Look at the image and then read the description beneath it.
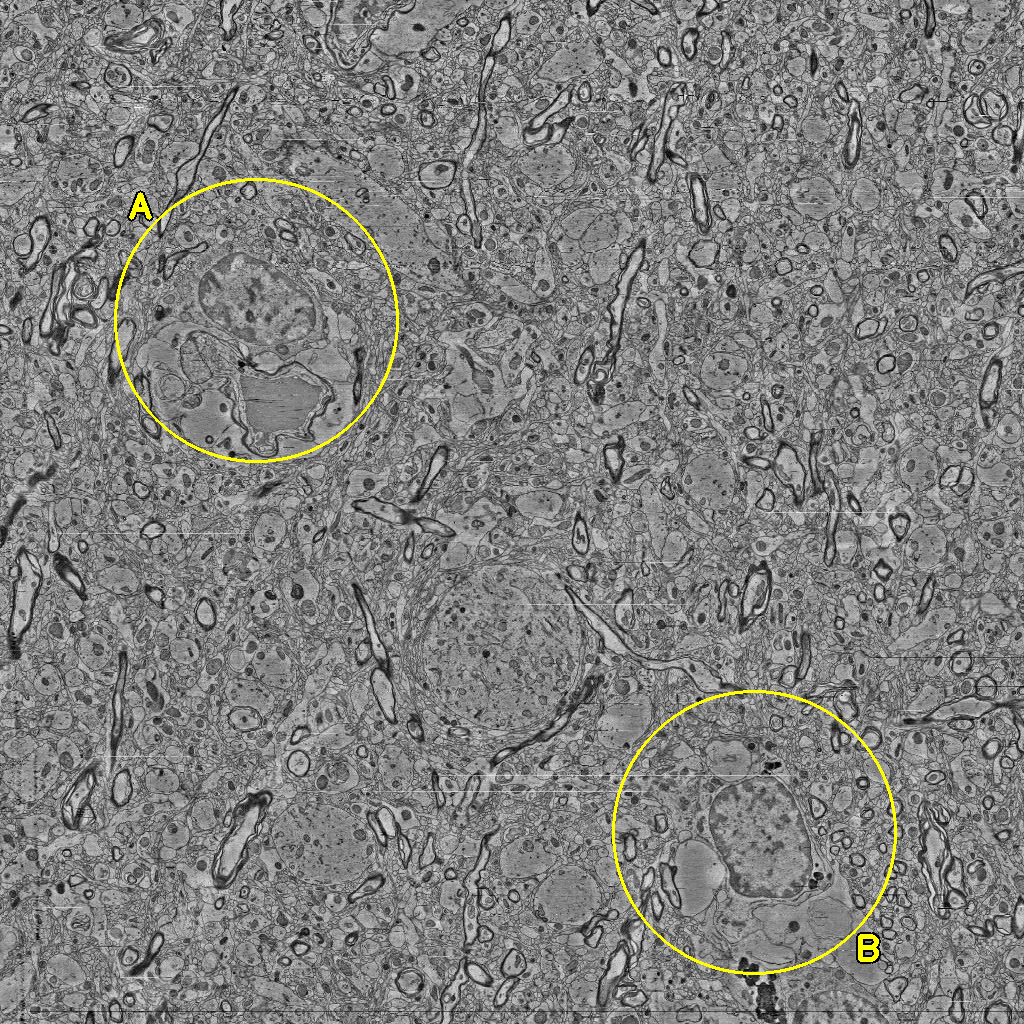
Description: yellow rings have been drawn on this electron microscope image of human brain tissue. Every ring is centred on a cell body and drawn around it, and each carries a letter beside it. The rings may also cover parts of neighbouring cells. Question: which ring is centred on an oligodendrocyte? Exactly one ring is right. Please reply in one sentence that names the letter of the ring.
It is ring A.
